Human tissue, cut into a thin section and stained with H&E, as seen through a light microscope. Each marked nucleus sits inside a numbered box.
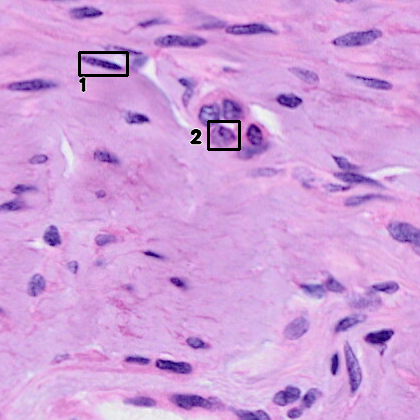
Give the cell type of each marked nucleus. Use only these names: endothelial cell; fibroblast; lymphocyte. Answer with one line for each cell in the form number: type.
1: fibroblast
2: endothelial cell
